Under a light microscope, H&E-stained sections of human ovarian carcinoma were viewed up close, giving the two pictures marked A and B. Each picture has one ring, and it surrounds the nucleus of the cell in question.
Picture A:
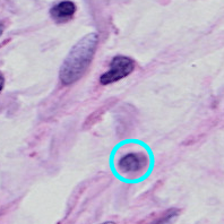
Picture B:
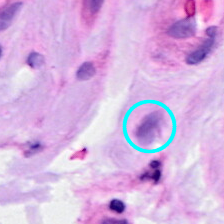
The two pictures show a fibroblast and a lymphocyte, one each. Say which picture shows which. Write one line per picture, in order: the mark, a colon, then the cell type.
A: lymphocyte
B: fibroblast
